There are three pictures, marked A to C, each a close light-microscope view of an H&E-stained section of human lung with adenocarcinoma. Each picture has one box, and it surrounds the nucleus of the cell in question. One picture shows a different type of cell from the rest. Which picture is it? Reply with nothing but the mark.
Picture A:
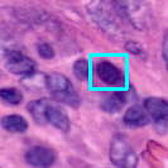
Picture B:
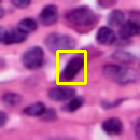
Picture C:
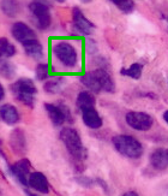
C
